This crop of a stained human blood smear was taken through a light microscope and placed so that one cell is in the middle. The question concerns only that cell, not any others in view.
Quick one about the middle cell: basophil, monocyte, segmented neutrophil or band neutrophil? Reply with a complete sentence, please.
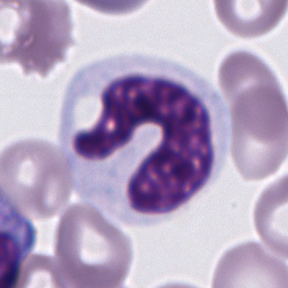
The central cell in this smear crop is a band neutrophil.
